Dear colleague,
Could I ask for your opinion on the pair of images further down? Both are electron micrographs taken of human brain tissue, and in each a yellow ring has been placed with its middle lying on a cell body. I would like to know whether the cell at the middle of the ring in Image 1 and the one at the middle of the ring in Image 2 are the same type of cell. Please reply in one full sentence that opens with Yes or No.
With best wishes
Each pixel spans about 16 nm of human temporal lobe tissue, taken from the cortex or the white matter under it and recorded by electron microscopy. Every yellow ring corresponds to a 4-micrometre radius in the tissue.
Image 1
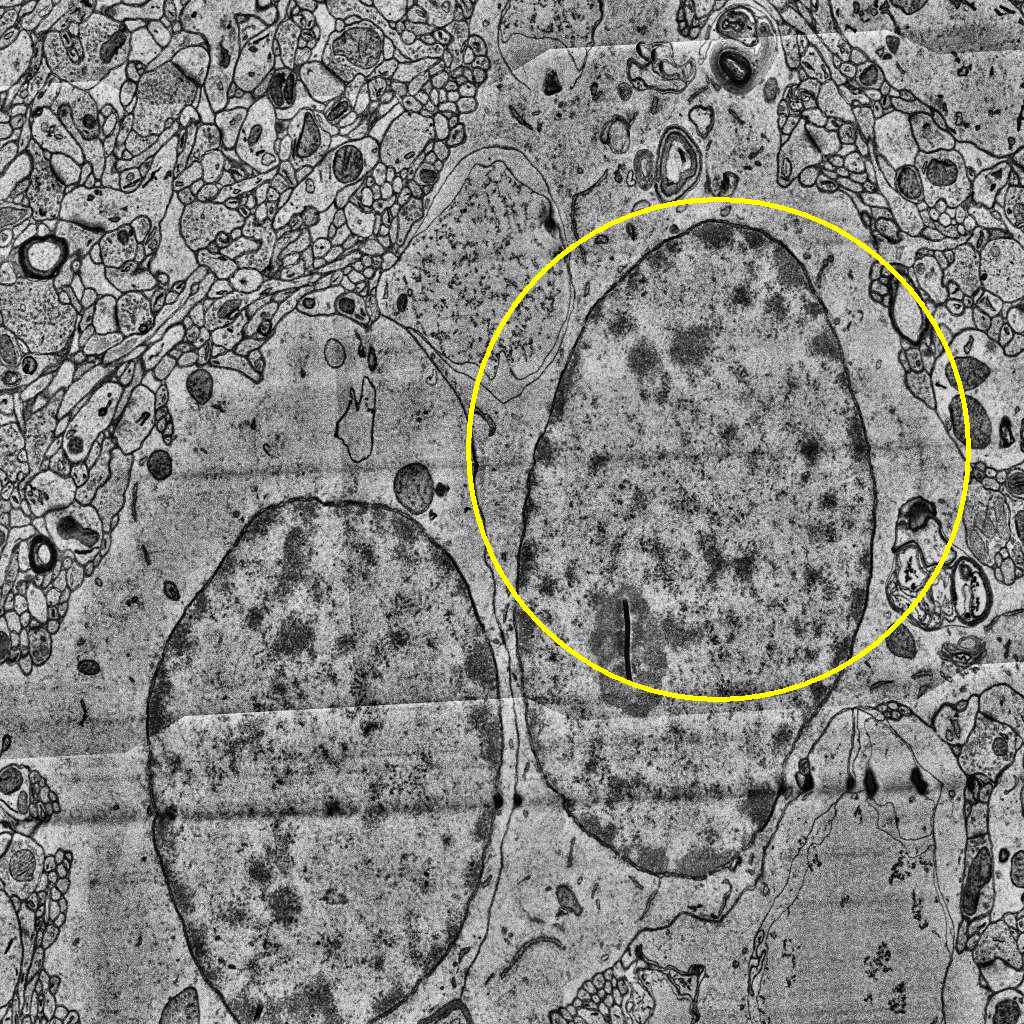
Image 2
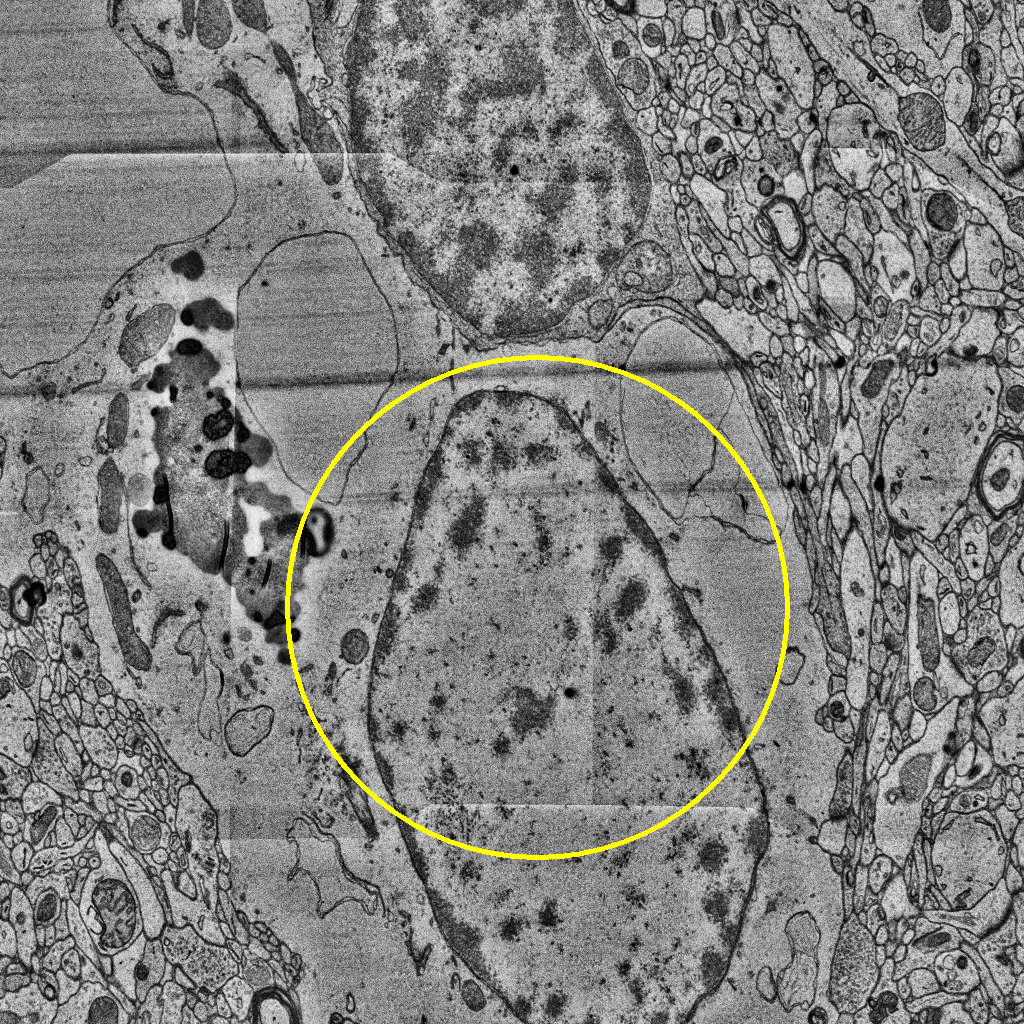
Yes, the cells at the ring centres in Image 1 and Image 2 are of one type.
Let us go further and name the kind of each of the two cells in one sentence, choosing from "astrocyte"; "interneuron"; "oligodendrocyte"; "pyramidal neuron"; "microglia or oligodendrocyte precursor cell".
The second cell is an astrocyte, just as the first is.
